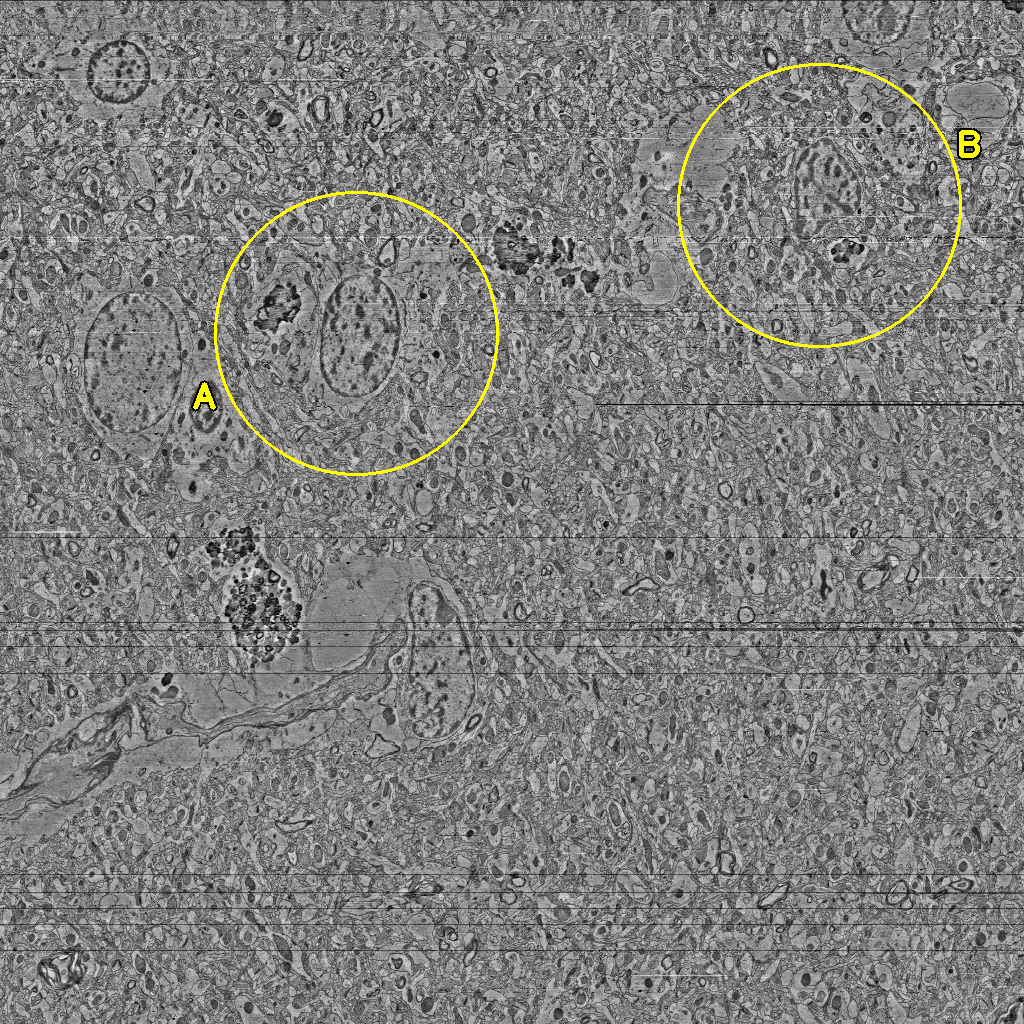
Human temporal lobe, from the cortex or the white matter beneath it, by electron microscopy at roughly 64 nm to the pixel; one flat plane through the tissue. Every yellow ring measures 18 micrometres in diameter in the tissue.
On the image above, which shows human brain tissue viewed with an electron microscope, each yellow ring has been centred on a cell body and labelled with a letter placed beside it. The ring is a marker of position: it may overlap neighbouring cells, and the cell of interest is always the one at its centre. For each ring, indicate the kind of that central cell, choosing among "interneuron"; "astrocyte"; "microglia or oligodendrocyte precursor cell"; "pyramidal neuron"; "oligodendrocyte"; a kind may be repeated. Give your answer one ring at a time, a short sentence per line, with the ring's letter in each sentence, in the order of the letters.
Ring A shows an astrocyte at its centre.
Ring B shows a microglial cell or oligodendrocyte precursor cell at its centre.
